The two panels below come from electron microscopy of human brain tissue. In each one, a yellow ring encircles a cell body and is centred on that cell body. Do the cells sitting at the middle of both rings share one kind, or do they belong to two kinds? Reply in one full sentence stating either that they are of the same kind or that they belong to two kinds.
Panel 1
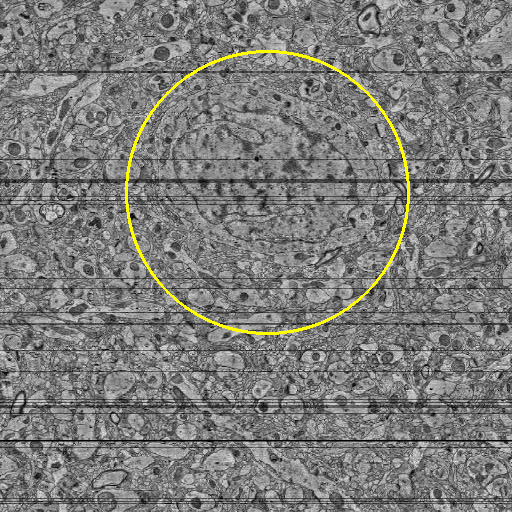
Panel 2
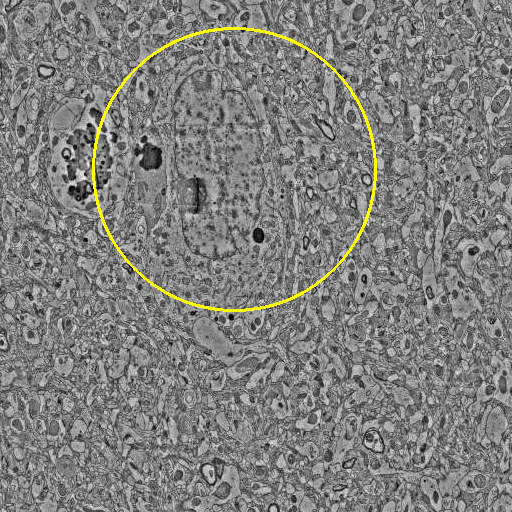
The cells at the centres of the two rings are of the same kind.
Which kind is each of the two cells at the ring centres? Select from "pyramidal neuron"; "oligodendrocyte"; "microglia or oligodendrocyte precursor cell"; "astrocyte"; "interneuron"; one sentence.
The first and the second cell are each an interneuron.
